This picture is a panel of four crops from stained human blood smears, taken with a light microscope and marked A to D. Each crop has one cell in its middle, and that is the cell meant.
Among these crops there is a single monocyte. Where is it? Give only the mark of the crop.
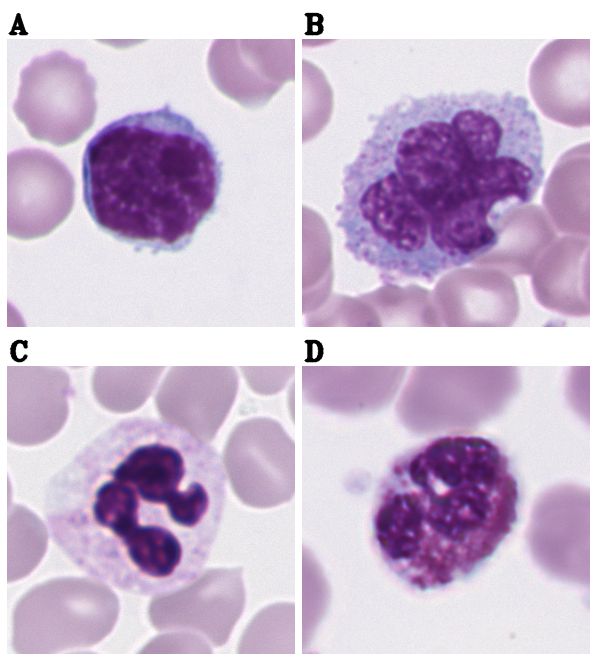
B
